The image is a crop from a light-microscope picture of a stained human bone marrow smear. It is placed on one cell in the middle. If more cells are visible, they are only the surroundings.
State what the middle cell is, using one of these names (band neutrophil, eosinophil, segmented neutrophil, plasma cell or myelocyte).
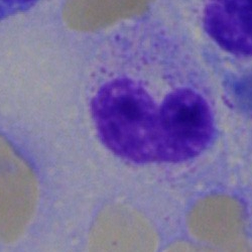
band neutrophil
